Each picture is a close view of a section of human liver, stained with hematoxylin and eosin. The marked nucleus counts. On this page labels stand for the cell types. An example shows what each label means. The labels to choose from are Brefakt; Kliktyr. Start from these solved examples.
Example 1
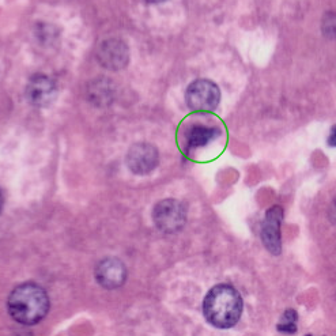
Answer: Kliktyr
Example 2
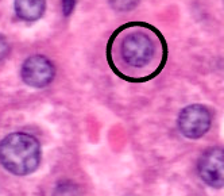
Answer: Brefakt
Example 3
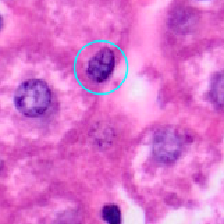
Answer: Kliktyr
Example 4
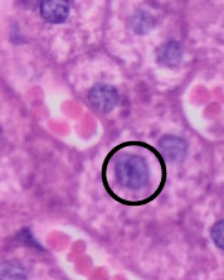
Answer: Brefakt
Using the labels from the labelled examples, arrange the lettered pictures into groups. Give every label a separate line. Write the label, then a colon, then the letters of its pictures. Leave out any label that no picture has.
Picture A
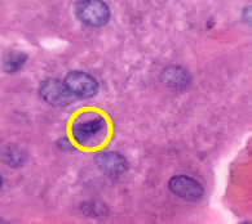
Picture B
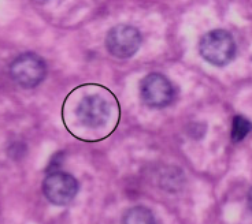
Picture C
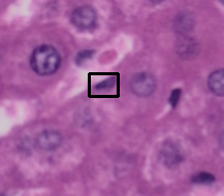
Brefakt: B
Kliktyr: A, C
